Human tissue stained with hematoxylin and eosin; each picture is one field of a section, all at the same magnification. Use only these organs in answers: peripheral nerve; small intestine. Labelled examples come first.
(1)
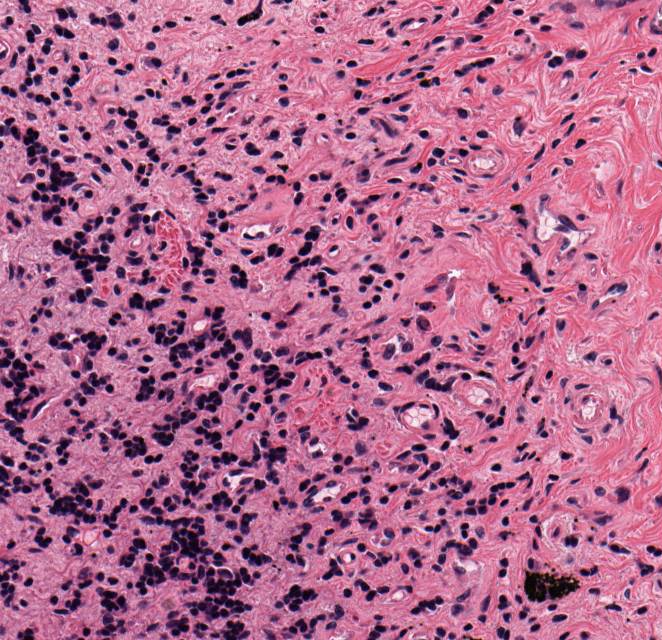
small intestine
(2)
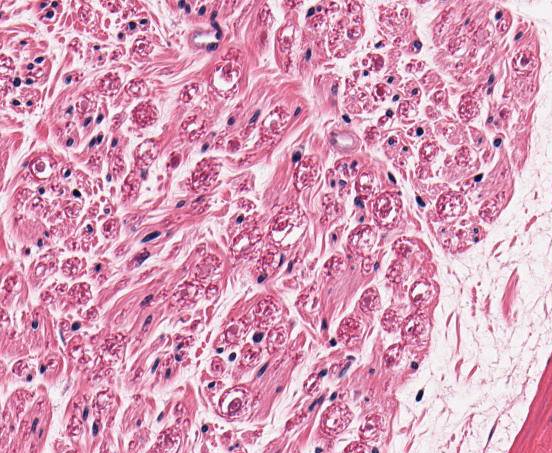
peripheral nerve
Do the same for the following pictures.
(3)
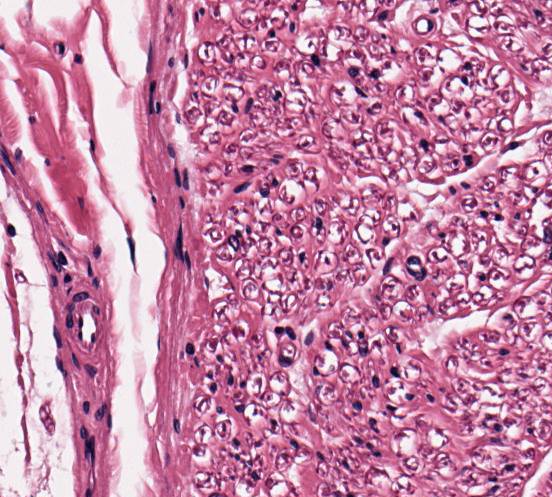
peripheral nerve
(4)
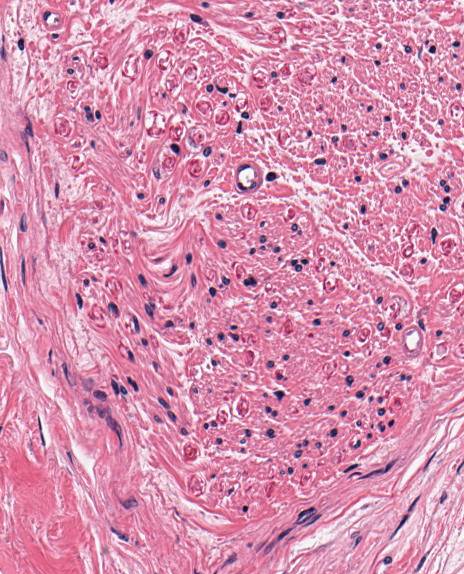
peripheral nerve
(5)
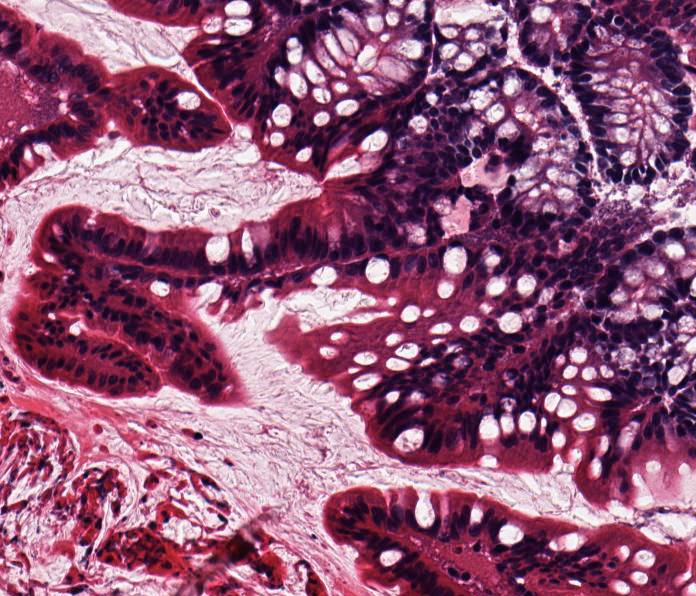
small intestine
